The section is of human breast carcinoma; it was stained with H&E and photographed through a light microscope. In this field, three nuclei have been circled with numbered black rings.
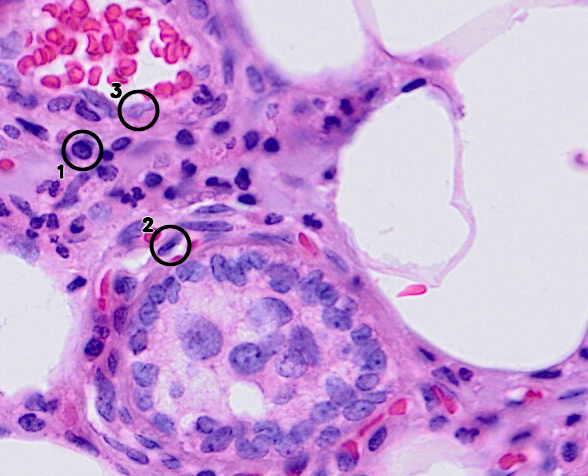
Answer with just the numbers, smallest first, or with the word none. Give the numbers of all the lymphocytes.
1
